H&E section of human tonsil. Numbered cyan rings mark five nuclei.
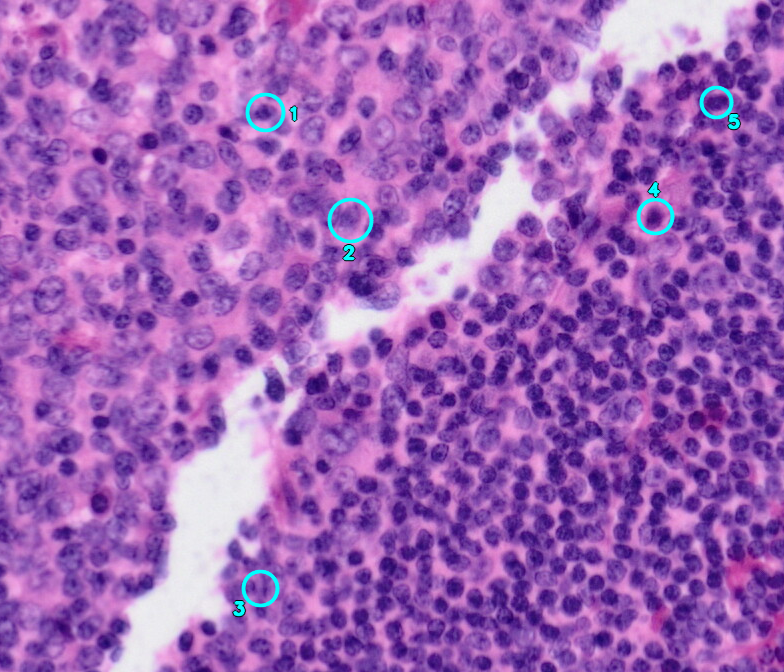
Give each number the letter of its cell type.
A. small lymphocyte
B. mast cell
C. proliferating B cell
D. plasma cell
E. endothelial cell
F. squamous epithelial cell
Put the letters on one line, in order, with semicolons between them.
C; C; C; E; A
